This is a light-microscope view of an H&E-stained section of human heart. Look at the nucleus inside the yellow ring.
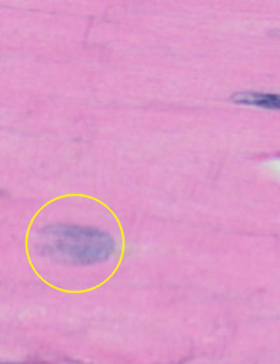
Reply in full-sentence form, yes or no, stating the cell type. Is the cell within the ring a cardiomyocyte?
Yes, the cell within the ring is accurately described as a cardiomyocyte.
